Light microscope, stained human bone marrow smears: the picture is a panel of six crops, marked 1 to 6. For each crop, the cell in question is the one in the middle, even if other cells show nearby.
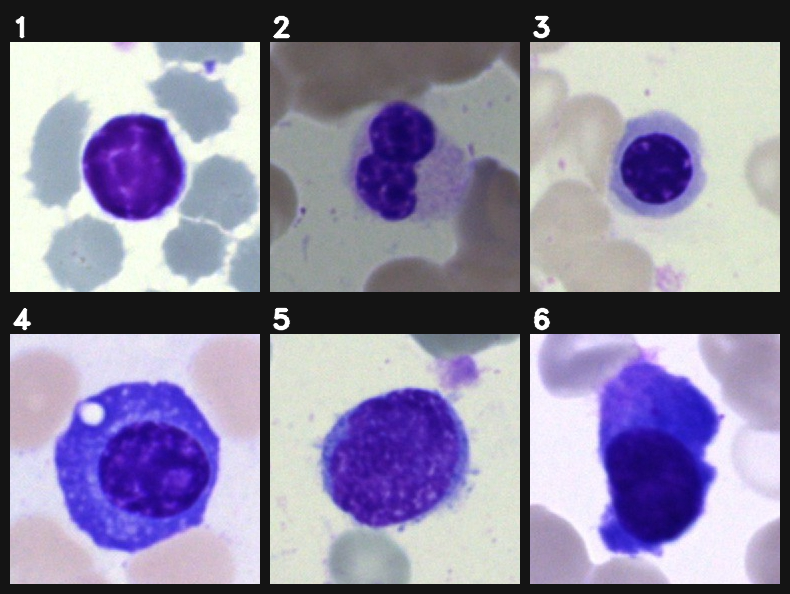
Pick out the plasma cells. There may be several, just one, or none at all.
4, 6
